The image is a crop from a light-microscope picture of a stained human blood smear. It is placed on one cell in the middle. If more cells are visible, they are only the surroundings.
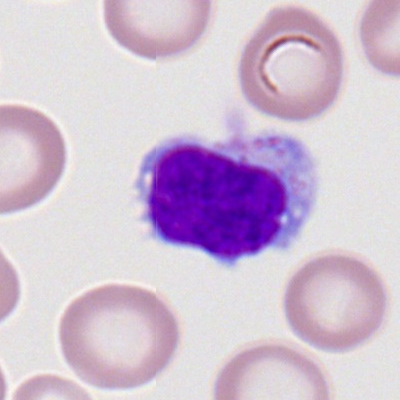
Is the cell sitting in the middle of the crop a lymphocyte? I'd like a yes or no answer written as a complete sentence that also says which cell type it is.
Yes, the central cell here is a lymphocyte.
